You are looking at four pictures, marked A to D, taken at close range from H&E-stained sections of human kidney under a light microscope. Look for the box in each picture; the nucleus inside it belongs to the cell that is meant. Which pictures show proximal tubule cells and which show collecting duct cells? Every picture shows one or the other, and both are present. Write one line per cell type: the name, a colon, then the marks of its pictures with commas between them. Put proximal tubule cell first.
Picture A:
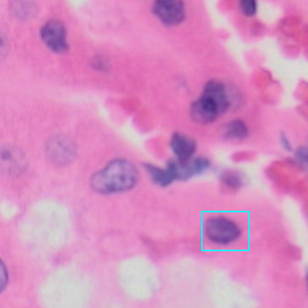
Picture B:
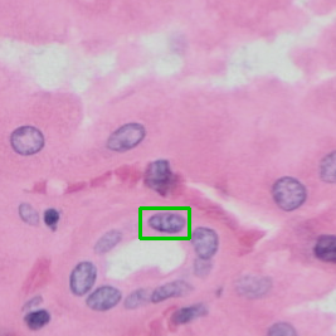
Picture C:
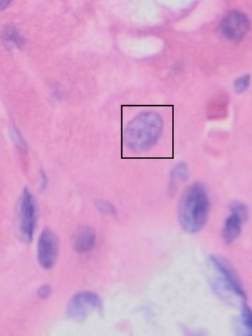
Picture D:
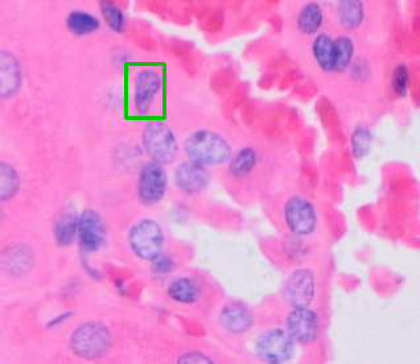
proximal tubule cell: A, C
collecting duct cell: B, D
